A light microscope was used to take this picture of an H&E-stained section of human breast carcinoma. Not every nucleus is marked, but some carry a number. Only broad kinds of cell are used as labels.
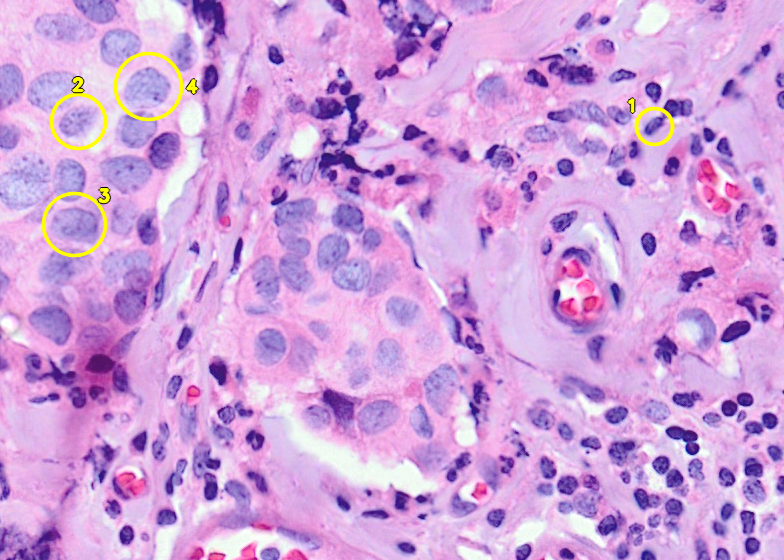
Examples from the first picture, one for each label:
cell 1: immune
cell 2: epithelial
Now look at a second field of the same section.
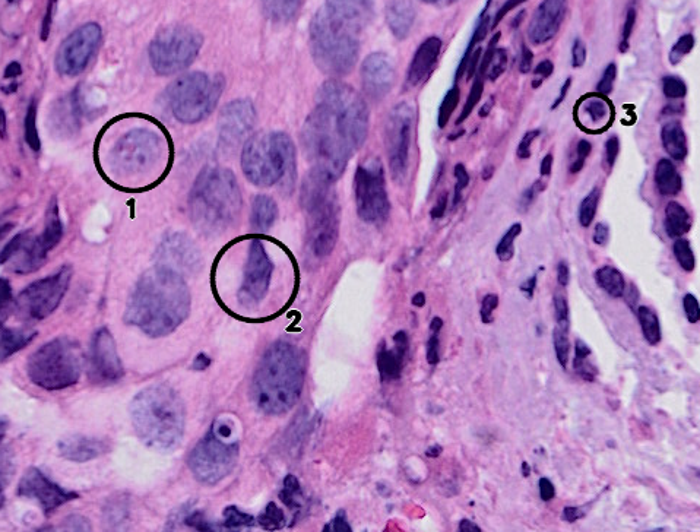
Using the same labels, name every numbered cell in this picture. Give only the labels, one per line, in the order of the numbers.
epithelial
epithelial
immune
